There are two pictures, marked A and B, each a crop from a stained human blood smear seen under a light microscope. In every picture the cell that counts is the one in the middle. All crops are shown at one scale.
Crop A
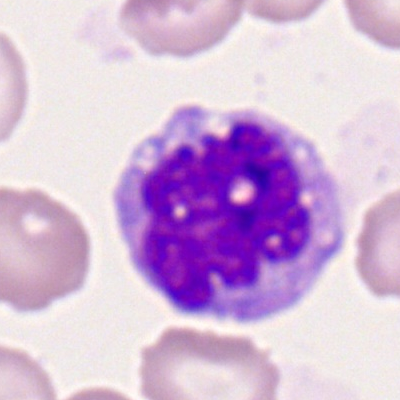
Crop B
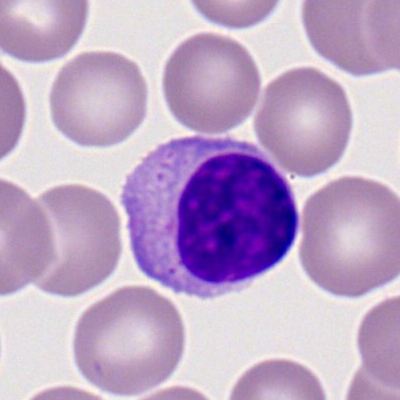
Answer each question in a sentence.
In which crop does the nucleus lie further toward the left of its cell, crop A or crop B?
It is the nucleus in crop A that lies further toward the left of its cell.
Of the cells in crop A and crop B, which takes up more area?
Crop A holds the larger cell; it covers about 1.5 times the area of the cell in crop B.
